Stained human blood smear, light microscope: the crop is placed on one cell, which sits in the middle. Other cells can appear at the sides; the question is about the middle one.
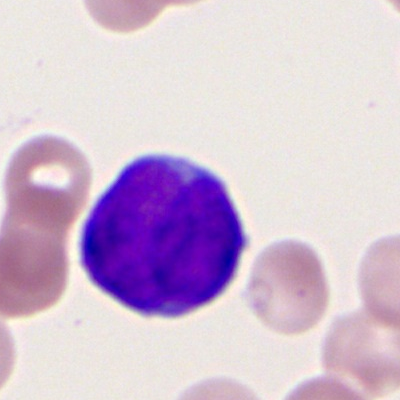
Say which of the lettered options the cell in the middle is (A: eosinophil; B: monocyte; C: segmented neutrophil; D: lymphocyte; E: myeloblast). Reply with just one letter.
E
